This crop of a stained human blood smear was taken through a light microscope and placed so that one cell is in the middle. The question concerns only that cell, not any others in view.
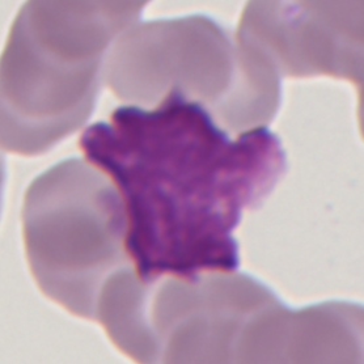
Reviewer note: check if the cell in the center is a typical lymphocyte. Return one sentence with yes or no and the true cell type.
No, what lies at the heart of the crop is a smudge cell, not a typical lymphocyte.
